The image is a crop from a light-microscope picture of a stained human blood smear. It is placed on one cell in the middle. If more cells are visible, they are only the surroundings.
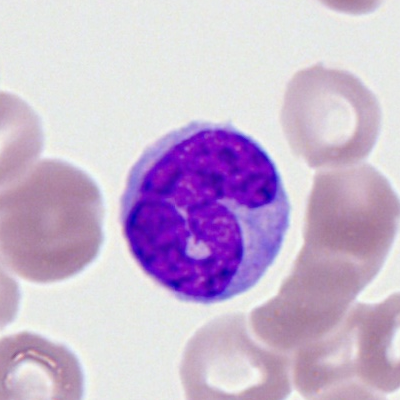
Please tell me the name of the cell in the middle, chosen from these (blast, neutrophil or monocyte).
monocyte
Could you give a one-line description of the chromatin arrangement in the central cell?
Here the nuclear chromatin is coarsely clumped.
